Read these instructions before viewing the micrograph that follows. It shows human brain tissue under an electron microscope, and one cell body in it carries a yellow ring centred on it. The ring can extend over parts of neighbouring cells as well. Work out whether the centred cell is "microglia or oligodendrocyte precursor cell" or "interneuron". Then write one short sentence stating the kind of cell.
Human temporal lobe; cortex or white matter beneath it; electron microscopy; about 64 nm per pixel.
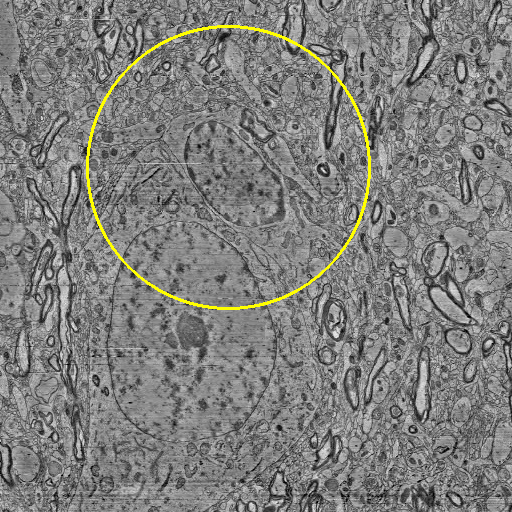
The ringed cell is a microglial cell or oligodendrocyte precursor cell.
